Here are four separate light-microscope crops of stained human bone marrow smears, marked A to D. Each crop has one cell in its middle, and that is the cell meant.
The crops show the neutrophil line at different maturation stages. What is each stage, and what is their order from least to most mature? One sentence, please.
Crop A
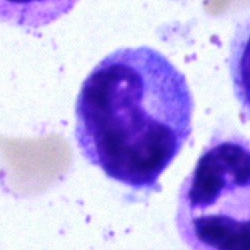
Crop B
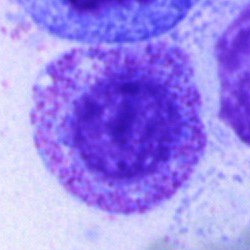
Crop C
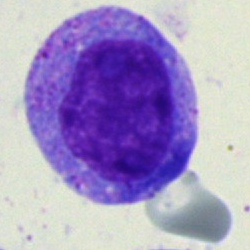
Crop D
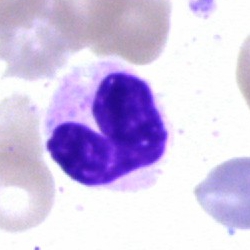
Along the maturation line, from least to most mature, sit crop C (a promyelocyte), crop B (a myelocyte), crop A (a metamyelocyte) and crop D (a band neutrophil).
